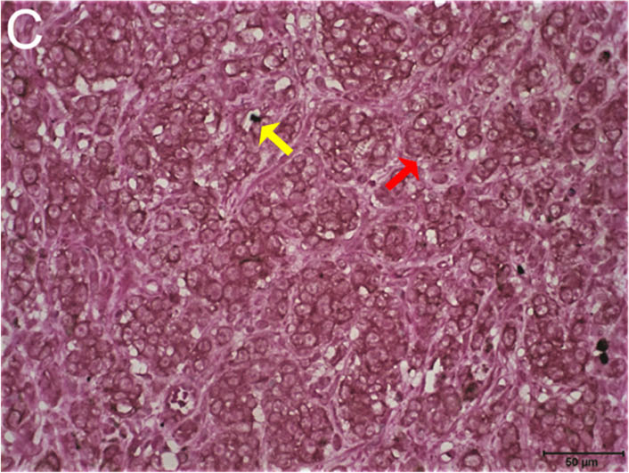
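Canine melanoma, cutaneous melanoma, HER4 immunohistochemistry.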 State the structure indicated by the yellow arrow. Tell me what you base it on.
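Melanin. The yellow arrow points to a small black granular deposit. A few other black dots lie scattered in the field.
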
